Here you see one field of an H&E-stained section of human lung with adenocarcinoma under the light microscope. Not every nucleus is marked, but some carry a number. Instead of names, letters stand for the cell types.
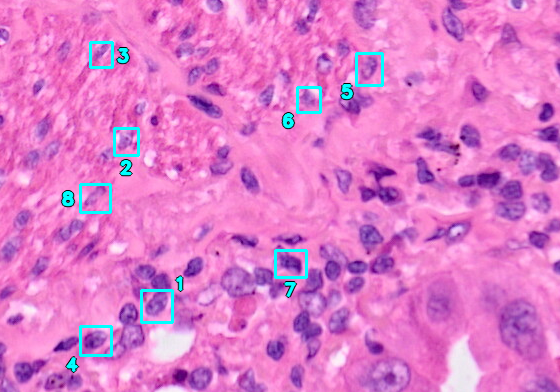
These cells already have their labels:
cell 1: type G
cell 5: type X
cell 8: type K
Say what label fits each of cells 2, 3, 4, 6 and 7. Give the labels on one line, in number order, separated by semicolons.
type K; type K; type G; type K; type G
